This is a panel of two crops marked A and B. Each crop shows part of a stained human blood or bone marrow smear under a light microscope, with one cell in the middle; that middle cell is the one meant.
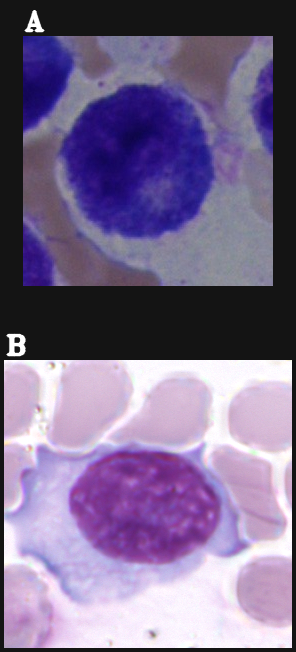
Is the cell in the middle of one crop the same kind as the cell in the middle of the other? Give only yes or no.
no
